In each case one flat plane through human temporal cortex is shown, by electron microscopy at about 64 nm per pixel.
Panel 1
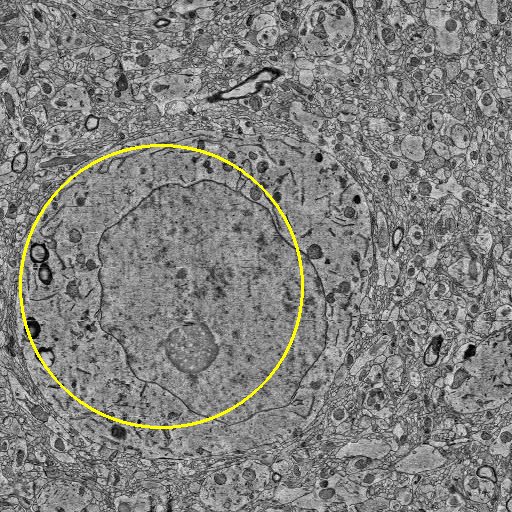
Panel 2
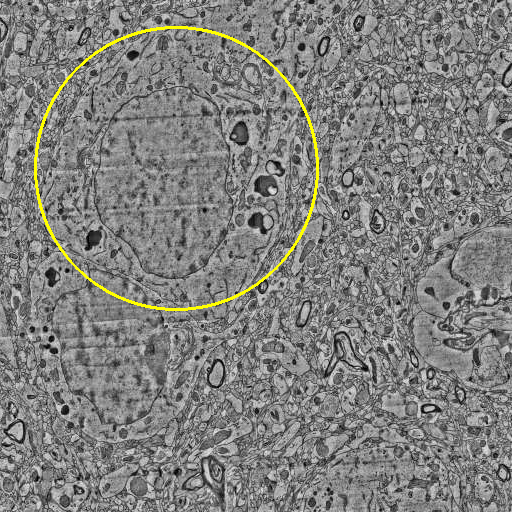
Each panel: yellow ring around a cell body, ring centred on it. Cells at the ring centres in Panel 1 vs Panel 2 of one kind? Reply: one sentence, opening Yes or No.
Yes, Panel 1 and Panel 2 have cells of one kind at the ring centres.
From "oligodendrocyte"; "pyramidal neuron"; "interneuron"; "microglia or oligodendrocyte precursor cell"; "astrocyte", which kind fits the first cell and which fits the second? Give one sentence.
The cell at the ring centre is a pyramidal neuron in both pictures.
